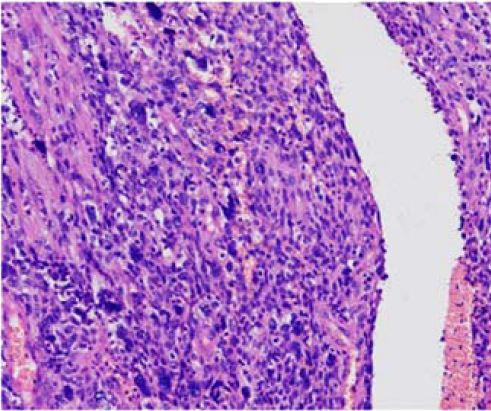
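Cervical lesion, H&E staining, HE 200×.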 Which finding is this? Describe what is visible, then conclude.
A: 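Densely packed cells with nuclei varying greatly in size and shape. Hyperchromatic, enlarged nuclei throughout the cellular area. That points to this answer: tumor cell atypia.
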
